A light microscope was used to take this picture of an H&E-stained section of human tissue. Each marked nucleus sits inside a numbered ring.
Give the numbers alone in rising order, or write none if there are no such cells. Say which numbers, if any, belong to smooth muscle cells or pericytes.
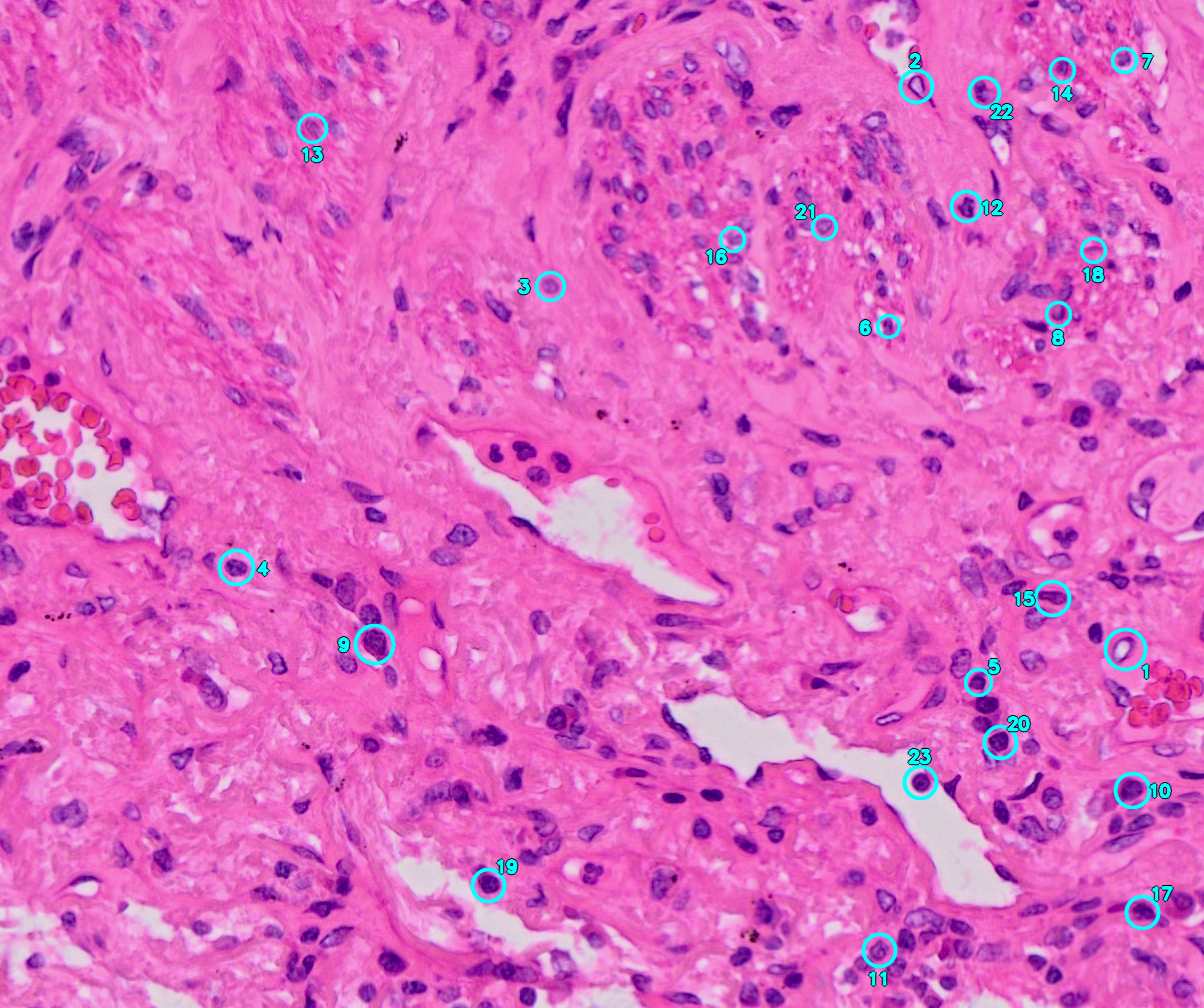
6, 7, 8, 13, 14, 16, 18, 21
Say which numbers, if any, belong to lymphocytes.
4, 5, 11, 19, 20, 23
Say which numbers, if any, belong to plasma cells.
9, 10, 15, 17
